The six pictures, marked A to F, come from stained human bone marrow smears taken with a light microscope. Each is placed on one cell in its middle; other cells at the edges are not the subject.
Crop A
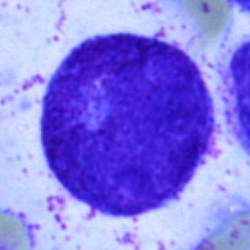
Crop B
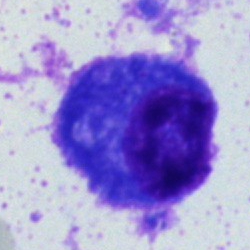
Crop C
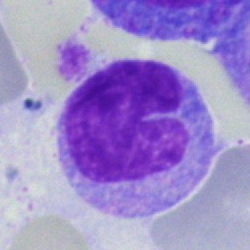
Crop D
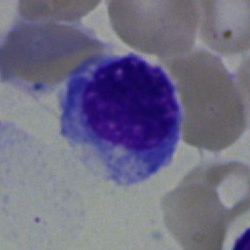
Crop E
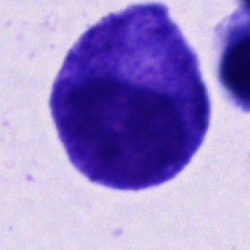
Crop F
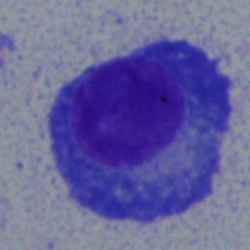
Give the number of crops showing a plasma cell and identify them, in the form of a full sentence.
Showing plasma cells are crops B and F, which amount to two.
